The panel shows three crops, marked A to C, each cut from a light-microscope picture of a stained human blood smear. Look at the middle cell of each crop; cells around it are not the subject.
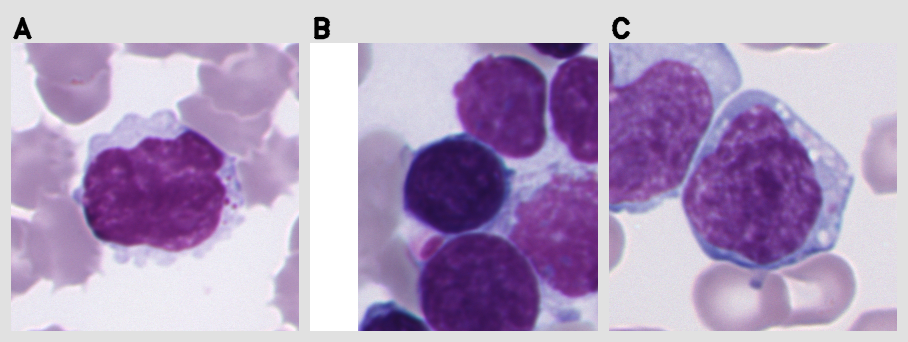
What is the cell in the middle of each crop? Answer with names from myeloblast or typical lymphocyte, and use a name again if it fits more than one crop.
A: typical lymphocyte
B: myeloblast
C: myeloblast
